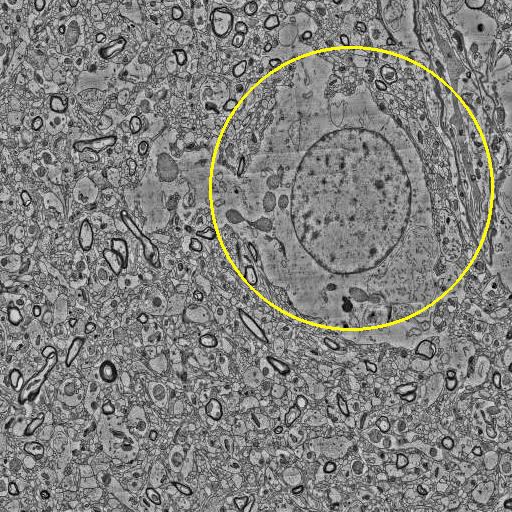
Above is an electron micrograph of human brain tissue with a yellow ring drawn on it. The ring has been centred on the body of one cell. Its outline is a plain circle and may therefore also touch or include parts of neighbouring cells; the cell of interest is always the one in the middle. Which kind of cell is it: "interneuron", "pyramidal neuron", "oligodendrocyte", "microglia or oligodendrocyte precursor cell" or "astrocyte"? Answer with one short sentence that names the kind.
The ring's central cell body is that of an astrocyte.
